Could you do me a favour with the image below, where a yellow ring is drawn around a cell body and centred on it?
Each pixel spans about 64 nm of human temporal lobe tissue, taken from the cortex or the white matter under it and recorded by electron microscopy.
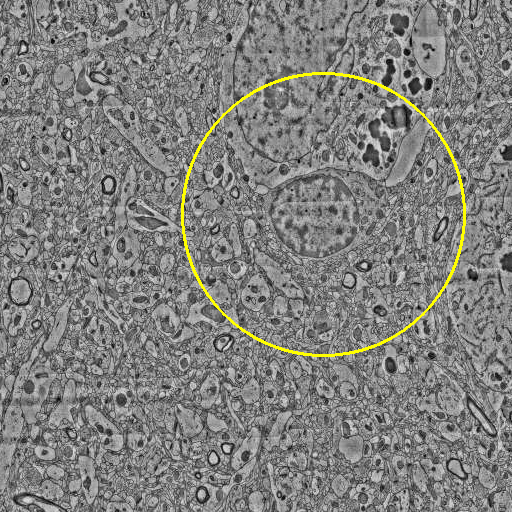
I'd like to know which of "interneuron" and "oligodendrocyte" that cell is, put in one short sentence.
The cell at the ring's centre is an oligodendrocyte.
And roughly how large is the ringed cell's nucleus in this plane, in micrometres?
Approximately 6 micrometres across in this plane.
